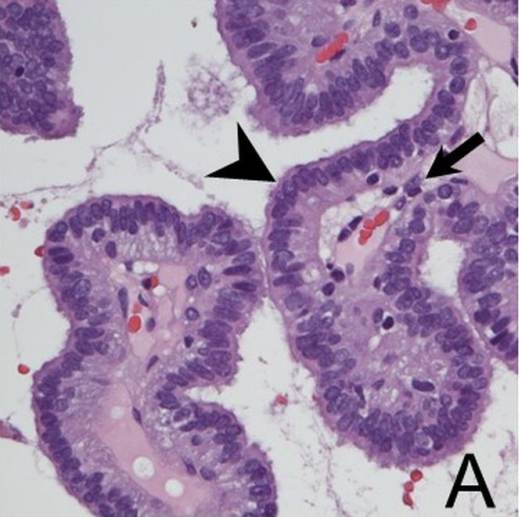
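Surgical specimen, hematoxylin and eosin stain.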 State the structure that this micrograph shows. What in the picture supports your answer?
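Finger-like fronds project into an open space. Each frond has a central core covered by a single epithelial layer. So: papillary structure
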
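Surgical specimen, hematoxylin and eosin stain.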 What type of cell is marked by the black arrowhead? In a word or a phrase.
Columnar epithelial cells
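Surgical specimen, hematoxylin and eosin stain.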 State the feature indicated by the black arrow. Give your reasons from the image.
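Fibrovascular stroma. The arrow points into the core beneath the lining cell layer. The core holds small vessels with red blood cells and loose pink connective tissue.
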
